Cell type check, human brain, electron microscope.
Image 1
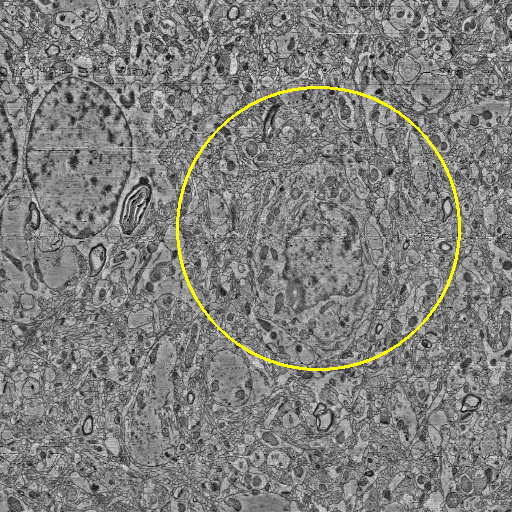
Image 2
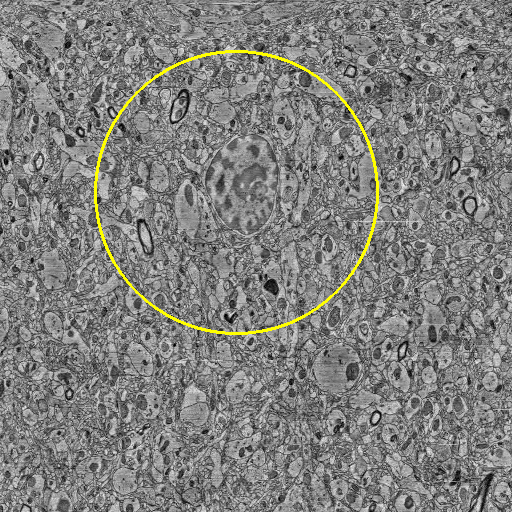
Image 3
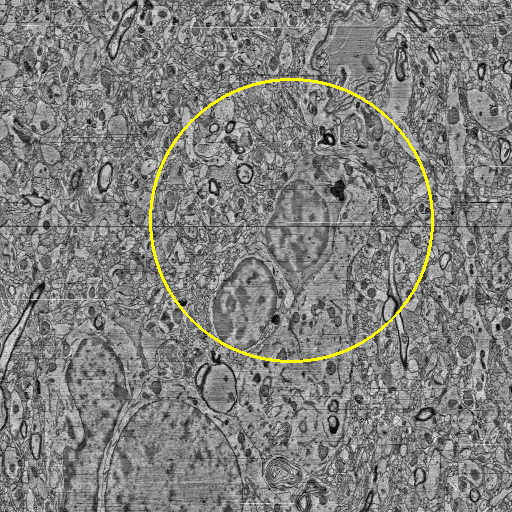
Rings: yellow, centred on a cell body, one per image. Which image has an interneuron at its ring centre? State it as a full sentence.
The ring in Image 1 is centred on it.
